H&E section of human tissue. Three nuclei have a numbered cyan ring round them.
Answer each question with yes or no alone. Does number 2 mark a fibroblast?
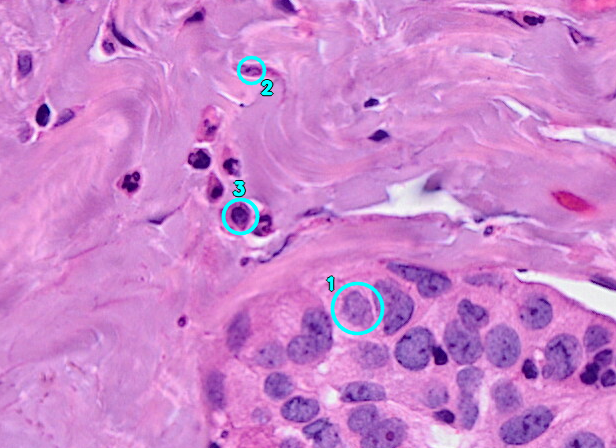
yes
